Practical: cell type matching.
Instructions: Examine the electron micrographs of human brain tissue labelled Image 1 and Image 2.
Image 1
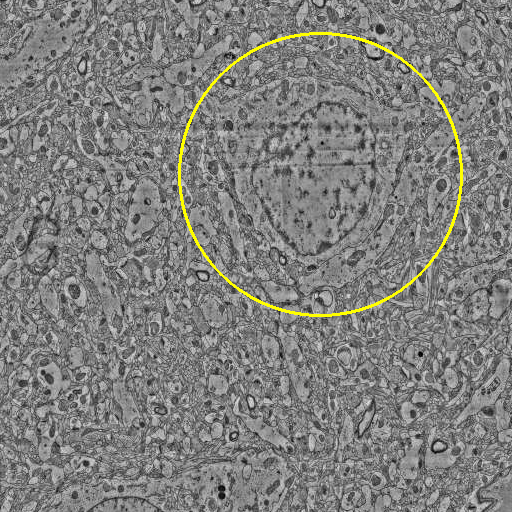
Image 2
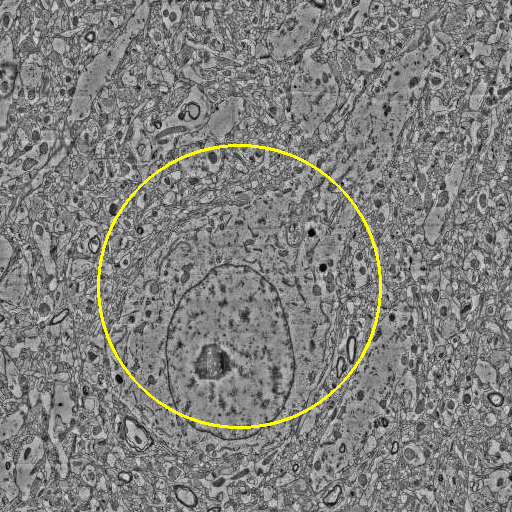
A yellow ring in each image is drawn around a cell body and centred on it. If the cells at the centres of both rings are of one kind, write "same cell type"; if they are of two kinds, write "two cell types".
two cell types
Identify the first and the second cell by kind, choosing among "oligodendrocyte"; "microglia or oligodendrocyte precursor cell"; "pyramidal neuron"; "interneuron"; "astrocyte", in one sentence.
The one in the first picture is an interneuron, while the one in the second is a pyramidal neuron.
